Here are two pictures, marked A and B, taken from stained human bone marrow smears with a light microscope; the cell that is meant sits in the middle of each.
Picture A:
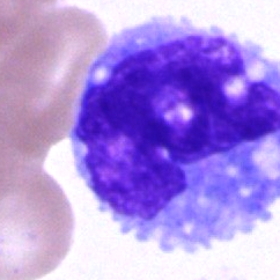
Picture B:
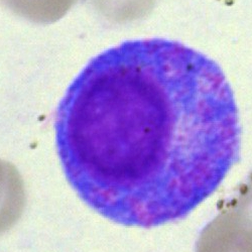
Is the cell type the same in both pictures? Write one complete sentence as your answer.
No, picture A shows a monocyte and picture B shows a promyelocyte.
